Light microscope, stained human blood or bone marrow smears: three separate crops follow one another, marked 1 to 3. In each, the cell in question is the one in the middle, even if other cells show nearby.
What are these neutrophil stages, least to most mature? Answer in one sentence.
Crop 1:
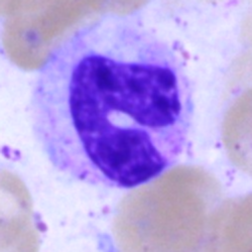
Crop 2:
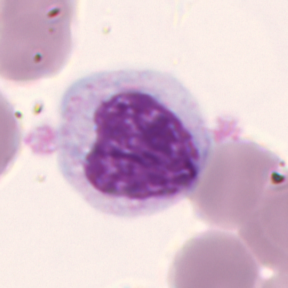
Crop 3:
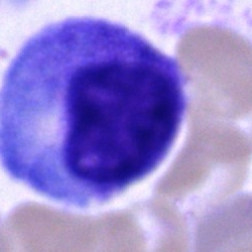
The cells in order of increasing maturity are crop 3 (a promyelocyte), crop 2 (a metamyelocyte) and crop 1 (a band neutrophil).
